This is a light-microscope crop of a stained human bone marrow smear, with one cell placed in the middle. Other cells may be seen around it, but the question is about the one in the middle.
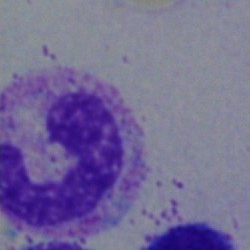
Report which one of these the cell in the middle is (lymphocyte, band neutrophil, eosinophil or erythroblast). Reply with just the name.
band neutrophil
